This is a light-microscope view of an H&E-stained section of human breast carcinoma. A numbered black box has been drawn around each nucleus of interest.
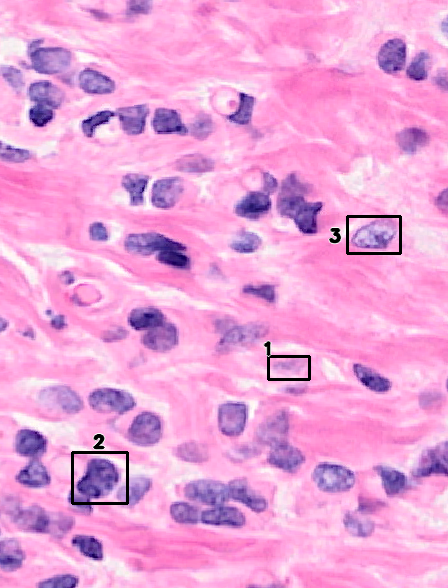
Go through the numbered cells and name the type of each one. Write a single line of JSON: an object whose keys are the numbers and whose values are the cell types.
{"1": "fibroblast", "2": "carcinoma cell", "3": "fibroblast"}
